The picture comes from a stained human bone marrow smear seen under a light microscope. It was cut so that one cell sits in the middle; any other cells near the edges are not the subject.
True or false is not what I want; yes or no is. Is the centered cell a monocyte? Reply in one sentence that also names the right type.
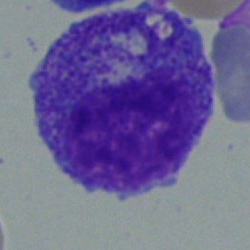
No, a promyelocyte, not a monocyte, is what sits in the centre of the crop.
